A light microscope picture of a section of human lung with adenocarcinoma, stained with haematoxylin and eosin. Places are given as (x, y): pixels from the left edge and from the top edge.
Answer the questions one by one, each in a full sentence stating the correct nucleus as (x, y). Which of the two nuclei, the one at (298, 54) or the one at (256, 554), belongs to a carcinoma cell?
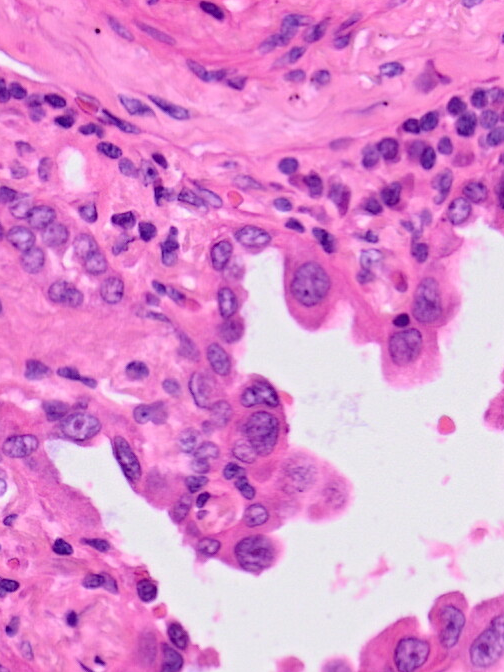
The nucleus at (256, 554) is attributed to a carcinoma cell, unlike the other nucleus.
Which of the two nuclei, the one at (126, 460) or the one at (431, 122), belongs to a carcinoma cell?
The nucleus at (126, 460) is the one of the two that belongs to a carcinoma cell.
